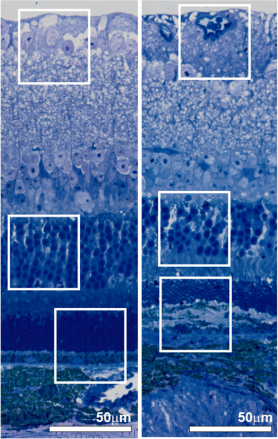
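These are two side-by-side cross-sections through the retina and the underlying choroid, stained in shades of blue. The inner retina shows large ganglion cells near the top above a broad, pale, spongy inner plexiform layer. The inner nuclear layer holds rows of rounded nuclei, and below a thin plexiform band, the outer nuclear layer holds closely packed, darkly stained photoreceptor nuclei. The photoreceptor segments form a darker band above the pigmented epithelium and the choroid. In the right-hand section, the outer nuclear layer shows pale spaces between its nuclei, and the tissue beneath the segments looks disordered.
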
